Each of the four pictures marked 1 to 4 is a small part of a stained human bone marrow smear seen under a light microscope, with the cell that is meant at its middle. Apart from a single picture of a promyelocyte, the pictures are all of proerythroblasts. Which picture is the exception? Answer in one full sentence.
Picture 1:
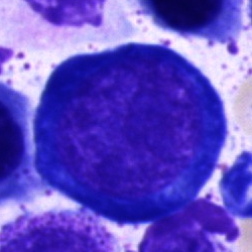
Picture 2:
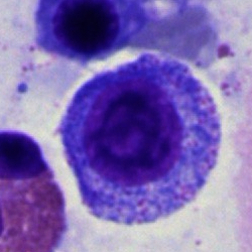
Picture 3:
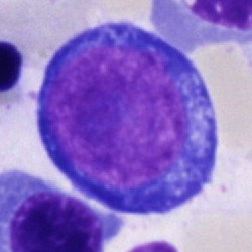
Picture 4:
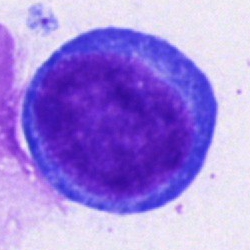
The promyelocyte is the one in picture 2.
